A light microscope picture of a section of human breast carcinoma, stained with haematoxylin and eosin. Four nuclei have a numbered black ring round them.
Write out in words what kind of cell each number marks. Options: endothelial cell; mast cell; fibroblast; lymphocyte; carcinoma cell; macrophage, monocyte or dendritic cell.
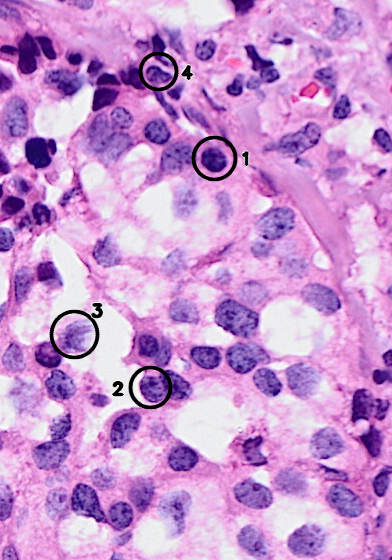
Cell 1 is a carcinoma cell, cell 2 is a carcinoma cell, cell 3 is a carcinoma cell and cell 4 is a lymphocyte.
